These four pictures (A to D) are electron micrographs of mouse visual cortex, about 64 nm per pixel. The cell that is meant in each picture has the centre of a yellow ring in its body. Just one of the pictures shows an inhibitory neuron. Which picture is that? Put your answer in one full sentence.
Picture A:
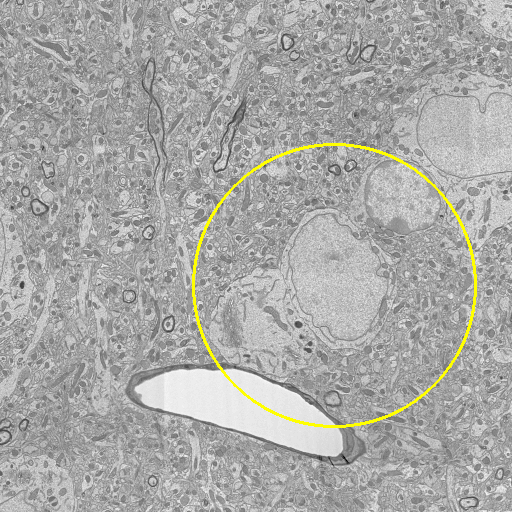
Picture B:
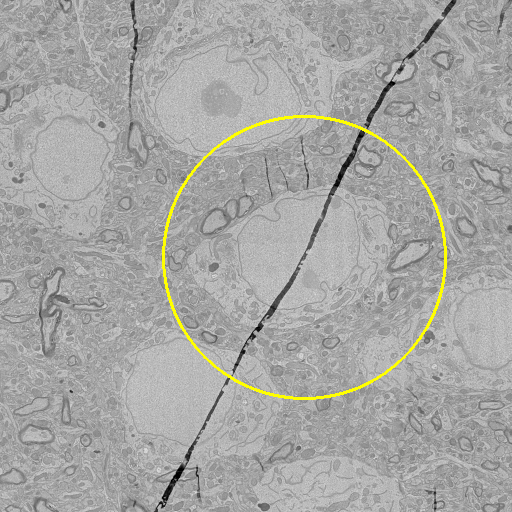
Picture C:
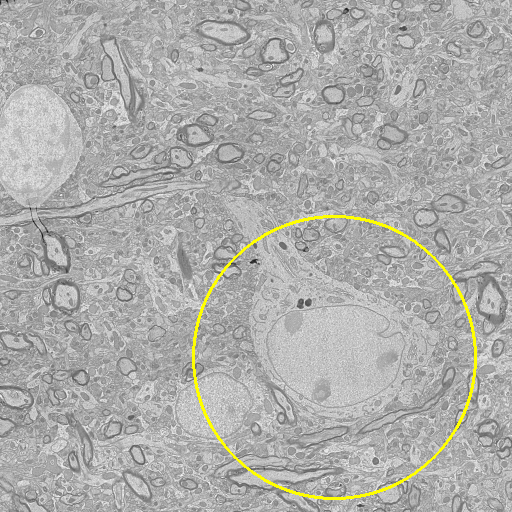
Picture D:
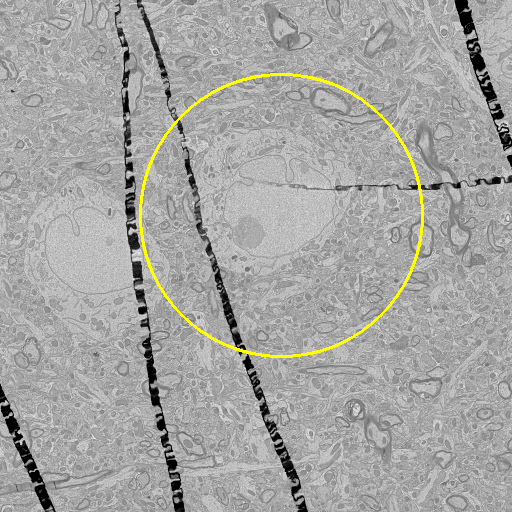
The cell in picture A is the inhibitory neuron.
